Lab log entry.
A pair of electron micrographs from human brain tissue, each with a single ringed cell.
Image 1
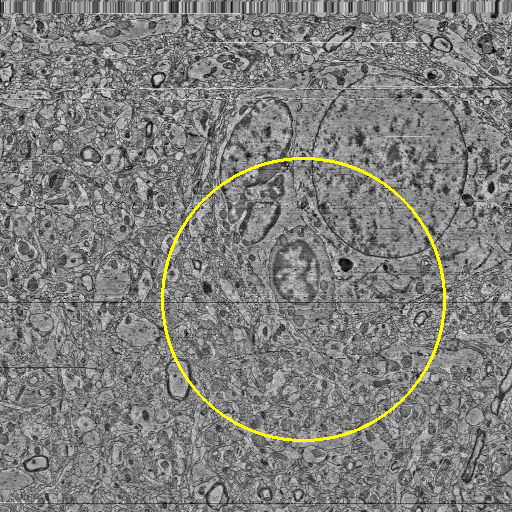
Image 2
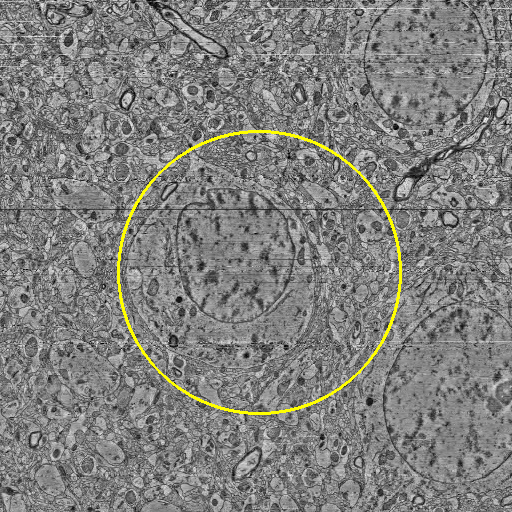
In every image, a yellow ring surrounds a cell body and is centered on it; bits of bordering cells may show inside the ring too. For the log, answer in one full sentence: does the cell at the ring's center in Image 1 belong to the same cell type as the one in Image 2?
No, the cells at the ring centers in Image 1 and Image 2 are of separate types.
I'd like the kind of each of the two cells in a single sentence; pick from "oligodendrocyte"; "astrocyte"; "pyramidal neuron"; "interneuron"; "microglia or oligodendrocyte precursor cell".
The first ring marks an oligodendrocyte, and the second ring marks a pyramidal neuron.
